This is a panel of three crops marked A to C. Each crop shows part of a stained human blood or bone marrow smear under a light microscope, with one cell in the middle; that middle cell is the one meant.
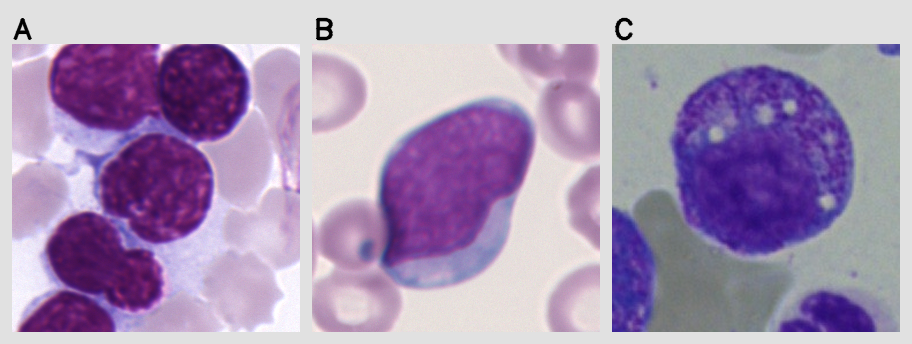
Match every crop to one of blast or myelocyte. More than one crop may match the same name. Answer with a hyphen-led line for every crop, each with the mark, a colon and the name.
- A: blast
- B: blast
- C: myelocyte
